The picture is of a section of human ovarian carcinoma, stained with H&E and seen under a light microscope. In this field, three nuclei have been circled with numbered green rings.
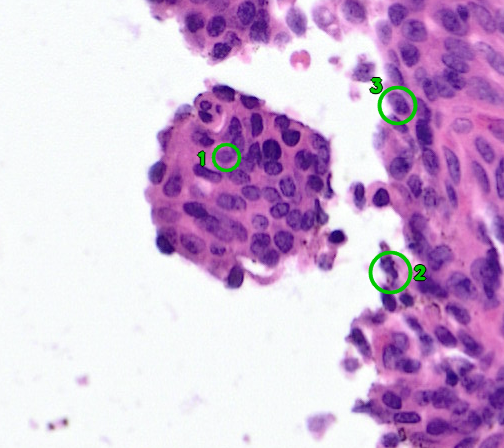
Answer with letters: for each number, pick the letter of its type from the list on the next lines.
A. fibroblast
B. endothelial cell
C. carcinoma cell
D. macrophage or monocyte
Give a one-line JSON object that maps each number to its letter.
{"1": "C", "2": "D", "3": "C"}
